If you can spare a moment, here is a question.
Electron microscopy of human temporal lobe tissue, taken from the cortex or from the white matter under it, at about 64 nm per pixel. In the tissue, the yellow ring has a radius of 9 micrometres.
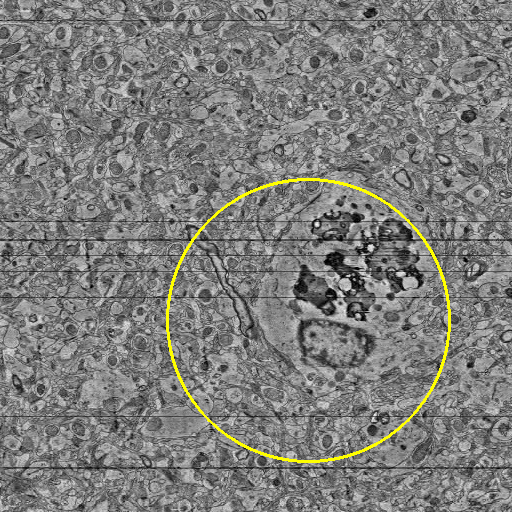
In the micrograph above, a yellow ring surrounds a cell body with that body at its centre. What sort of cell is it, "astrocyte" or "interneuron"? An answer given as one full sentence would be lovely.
Centred inside the yellow ring, the cell body shown belongs to an astrocyte in this micrograph.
